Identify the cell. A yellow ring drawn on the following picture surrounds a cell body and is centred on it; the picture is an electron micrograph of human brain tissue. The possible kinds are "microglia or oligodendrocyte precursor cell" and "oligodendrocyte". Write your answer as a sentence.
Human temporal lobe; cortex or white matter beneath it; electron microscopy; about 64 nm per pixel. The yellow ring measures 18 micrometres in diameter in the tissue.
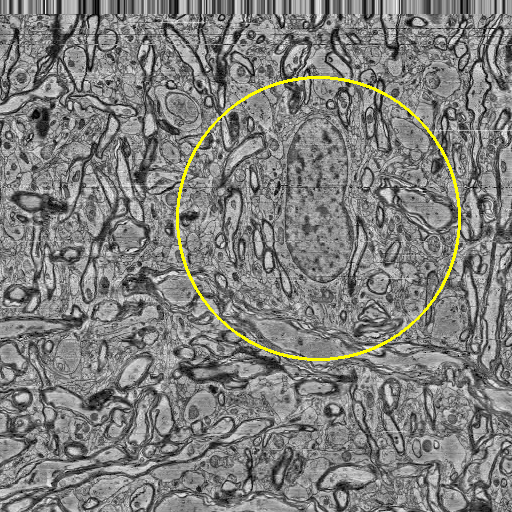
The cell identified by the ring is a microglial cell or oligodendrocyte precursor cell.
